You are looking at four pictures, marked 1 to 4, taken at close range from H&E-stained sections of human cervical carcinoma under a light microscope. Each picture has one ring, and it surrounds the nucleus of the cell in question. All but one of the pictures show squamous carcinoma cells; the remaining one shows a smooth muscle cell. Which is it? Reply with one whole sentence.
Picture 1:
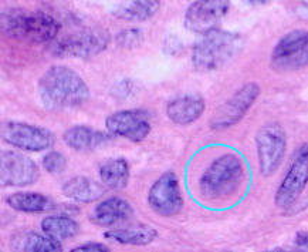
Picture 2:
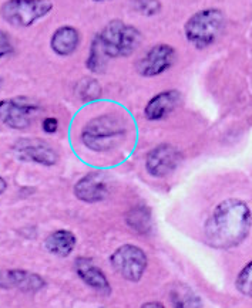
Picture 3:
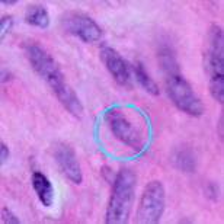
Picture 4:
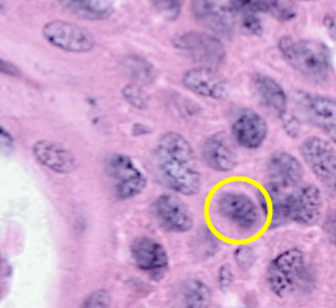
The picture with the smooth muscle cell is 3.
